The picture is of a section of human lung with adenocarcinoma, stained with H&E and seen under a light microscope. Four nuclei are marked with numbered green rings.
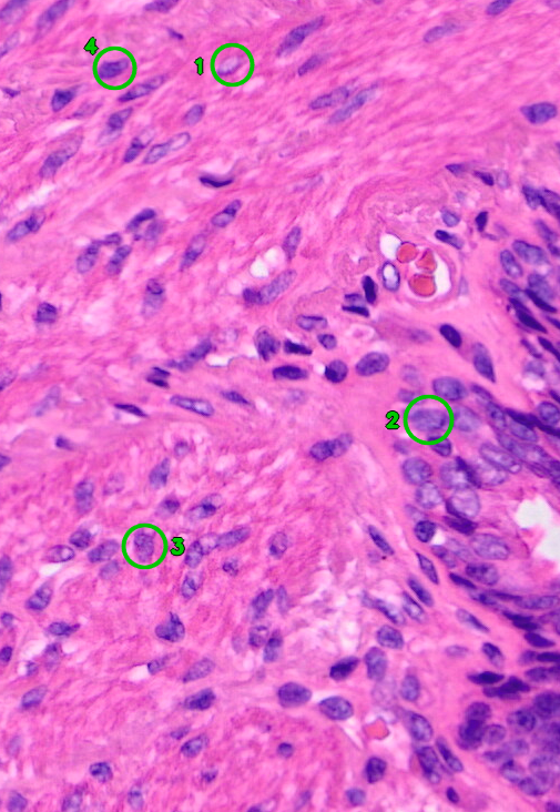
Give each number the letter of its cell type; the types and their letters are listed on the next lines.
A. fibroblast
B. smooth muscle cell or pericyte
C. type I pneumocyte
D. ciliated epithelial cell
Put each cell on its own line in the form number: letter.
1: B
2: D
3: B
4: B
